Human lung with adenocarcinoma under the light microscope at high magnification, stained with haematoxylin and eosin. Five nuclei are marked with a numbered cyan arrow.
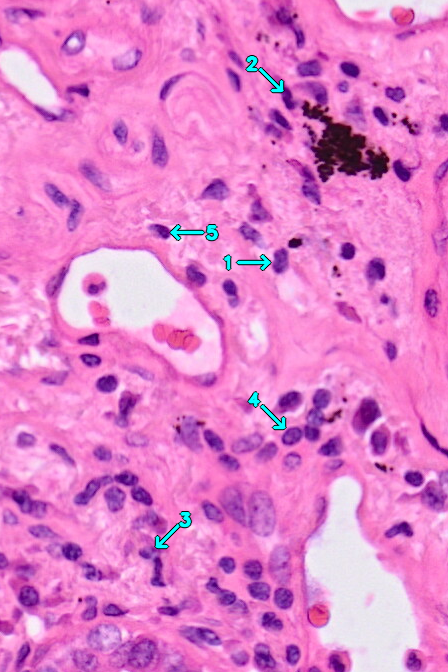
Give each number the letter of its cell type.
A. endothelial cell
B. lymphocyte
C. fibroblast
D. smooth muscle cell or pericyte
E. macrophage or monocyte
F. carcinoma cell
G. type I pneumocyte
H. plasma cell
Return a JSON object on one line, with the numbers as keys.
{"1": "B", "2": "H", "3": "H", "4": "B", "5": "B"}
